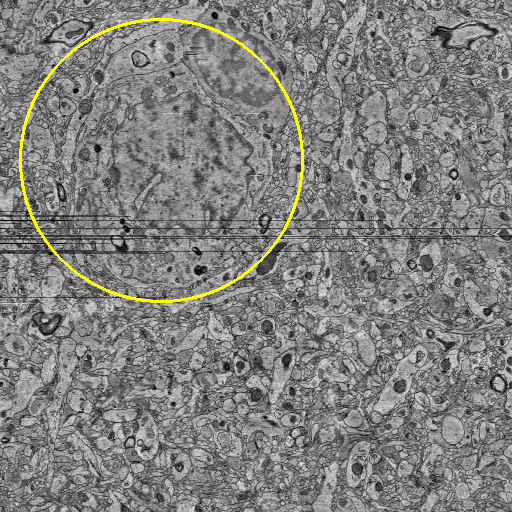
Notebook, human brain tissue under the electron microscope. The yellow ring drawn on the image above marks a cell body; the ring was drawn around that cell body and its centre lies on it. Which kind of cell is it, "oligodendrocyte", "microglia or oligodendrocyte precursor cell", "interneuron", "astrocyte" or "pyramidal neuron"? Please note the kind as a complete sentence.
The marked cell body is that of an interneuron.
